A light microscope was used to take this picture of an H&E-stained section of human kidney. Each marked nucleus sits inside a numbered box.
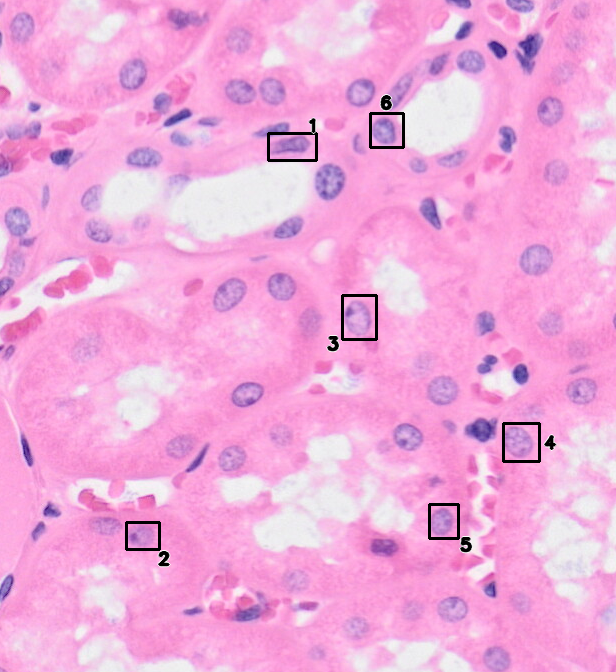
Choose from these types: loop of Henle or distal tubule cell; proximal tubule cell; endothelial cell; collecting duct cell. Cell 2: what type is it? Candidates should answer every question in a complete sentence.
The correct answer for cell 2 is a proximal tubule cell.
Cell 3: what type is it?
Of the numbered cells, the one labelled 3 is a proximal tubule cell.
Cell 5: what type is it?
The cell indicated with the number 5 is classed as a proximal tubule cell.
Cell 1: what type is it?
The one labeled 1 is a collecting duct cell, to put it simply.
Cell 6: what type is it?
The nucleus with number 6 is that of a collecting duct cell.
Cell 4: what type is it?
The cell assigned the number 4 is a proximal tubule cell.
